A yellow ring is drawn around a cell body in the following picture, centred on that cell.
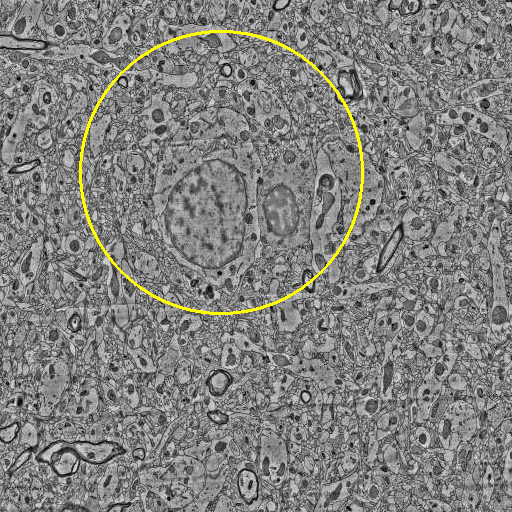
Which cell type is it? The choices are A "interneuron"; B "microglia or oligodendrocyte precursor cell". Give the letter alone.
A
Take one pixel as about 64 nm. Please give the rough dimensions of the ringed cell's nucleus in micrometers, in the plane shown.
The nucleus measures about 7 by 5 micrometres in this plane.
